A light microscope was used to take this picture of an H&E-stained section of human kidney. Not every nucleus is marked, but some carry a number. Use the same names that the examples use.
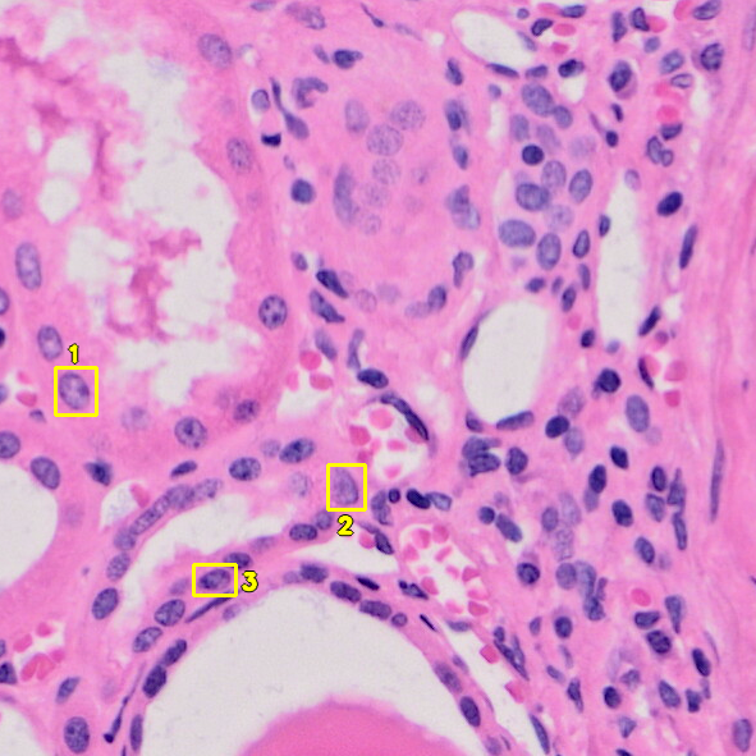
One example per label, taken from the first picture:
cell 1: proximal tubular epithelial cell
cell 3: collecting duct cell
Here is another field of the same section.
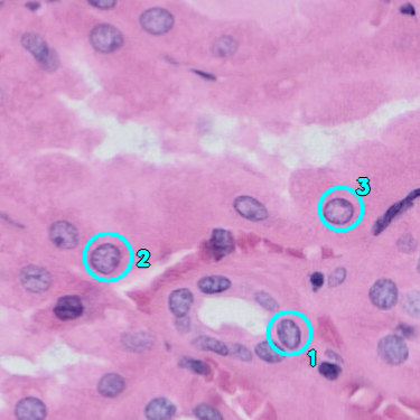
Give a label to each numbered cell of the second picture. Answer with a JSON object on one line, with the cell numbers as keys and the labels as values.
{"1": "collecting duct cell", "2": "proximal tubular epithelial cell", "3": "proximal tubular epithelial cell"}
